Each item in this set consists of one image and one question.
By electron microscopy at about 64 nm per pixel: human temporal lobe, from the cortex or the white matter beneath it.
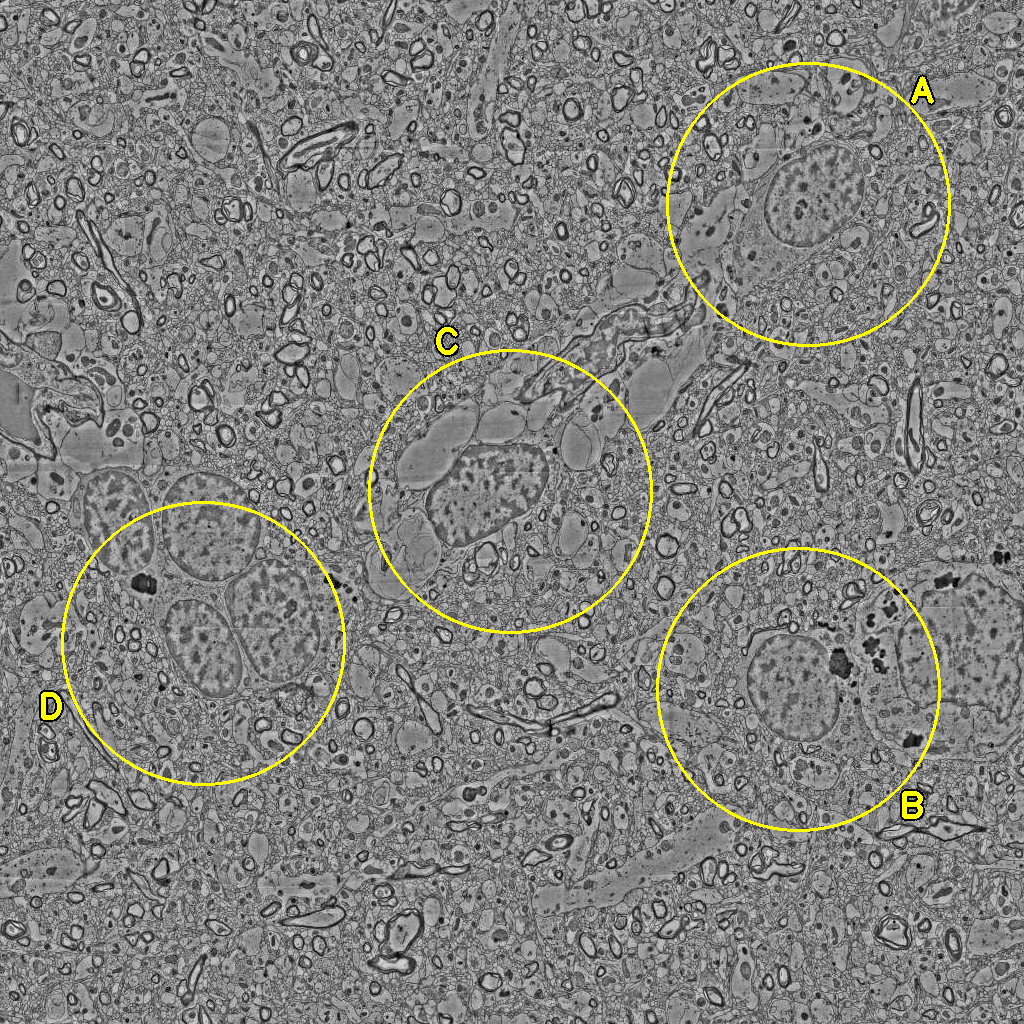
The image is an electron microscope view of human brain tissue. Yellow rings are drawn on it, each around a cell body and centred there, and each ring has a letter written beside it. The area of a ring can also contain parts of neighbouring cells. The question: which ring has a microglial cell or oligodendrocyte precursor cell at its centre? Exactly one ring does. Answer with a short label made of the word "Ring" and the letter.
Ring C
